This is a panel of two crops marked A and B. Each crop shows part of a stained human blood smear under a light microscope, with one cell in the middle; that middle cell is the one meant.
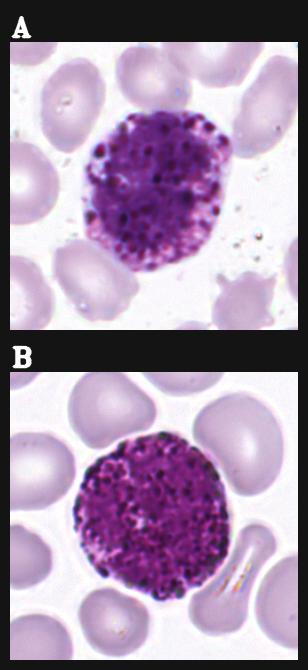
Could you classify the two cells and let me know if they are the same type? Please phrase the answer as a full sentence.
Yes, the centre cells of both crops are basophils.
